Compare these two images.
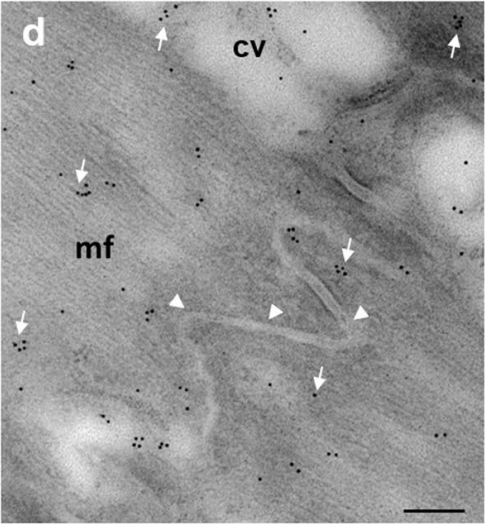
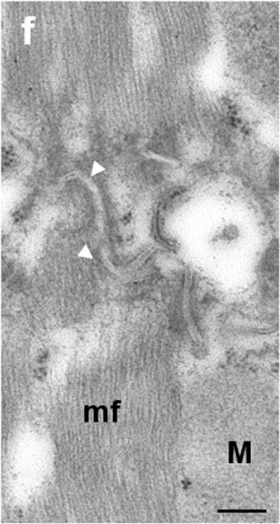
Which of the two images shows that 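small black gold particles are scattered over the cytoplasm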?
The first image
